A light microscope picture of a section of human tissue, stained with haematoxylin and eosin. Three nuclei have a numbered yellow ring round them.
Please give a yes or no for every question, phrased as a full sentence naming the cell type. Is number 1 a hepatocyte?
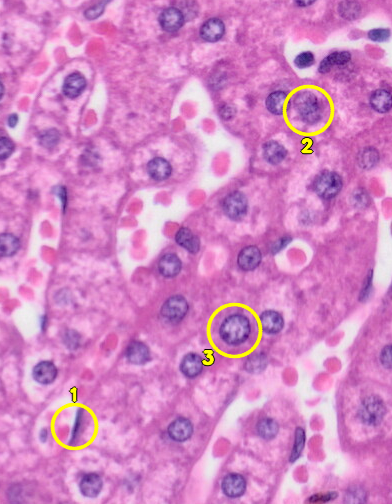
No, cell 1 is identified not as a hepatocyte but as an endothelial cell.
